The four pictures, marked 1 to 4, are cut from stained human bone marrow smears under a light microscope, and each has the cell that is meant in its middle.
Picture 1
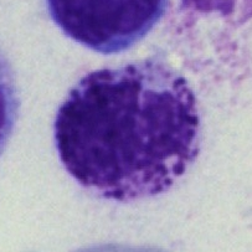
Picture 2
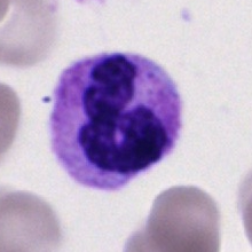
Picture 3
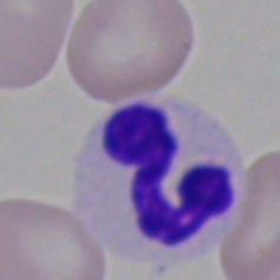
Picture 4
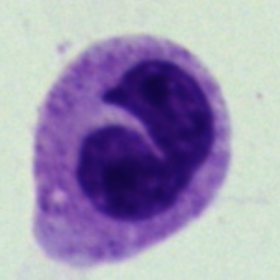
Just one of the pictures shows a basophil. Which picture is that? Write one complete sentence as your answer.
Picture 1 shows the basophil.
